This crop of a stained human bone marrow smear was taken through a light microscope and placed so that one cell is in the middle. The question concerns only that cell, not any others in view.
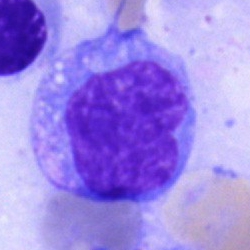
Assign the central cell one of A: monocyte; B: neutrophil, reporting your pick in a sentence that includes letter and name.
Since the cell in the middle is a monocyte, option A is correct.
